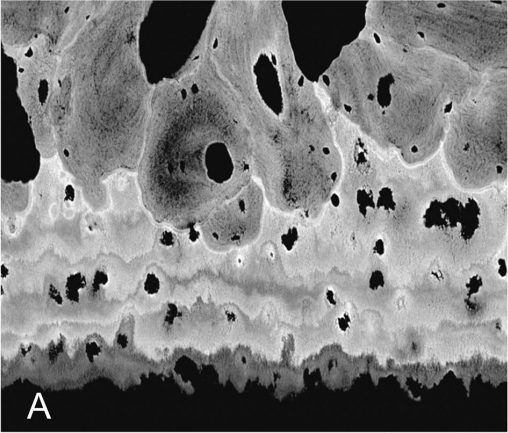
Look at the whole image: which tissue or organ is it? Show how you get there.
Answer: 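The upper part shows rounded osteon-like units with central dark canals. Large black marrow spaces open at the top edge. The answer: subchondral bone.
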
